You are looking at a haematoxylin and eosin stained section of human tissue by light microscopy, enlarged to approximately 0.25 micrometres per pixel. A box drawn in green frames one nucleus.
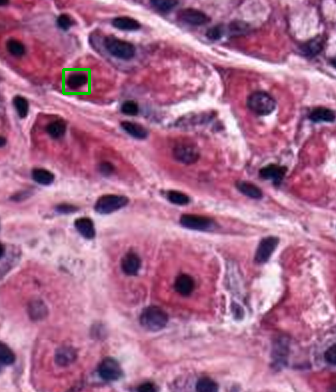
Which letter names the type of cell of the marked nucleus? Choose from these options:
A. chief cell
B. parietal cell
B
